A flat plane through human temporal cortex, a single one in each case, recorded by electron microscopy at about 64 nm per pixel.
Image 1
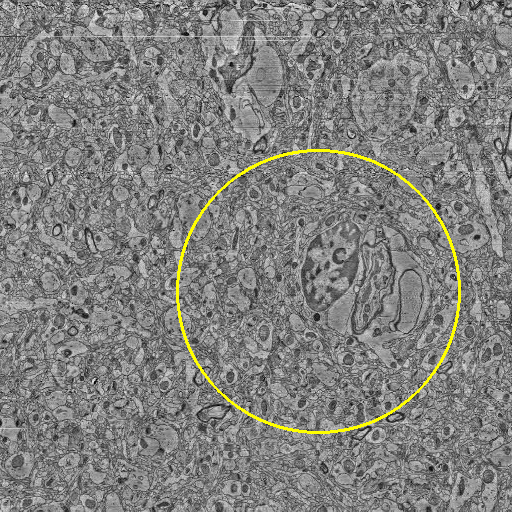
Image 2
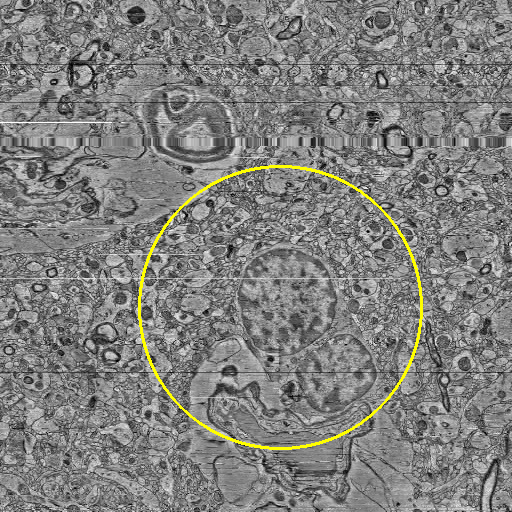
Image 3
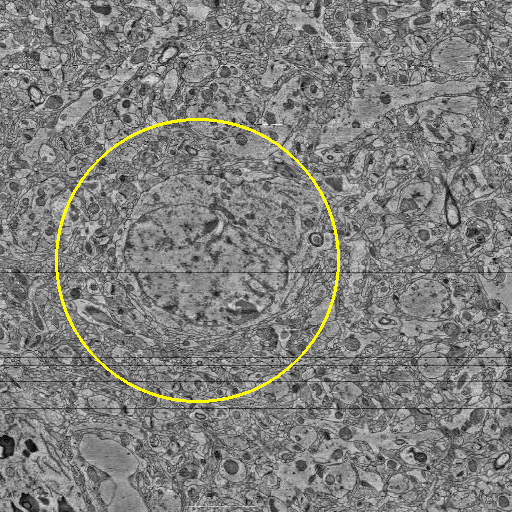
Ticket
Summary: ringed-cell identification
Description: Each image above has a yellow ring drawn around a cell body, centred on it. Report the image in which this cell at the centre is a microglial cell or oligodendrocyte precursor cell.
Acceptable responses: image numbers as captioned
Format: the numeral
1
